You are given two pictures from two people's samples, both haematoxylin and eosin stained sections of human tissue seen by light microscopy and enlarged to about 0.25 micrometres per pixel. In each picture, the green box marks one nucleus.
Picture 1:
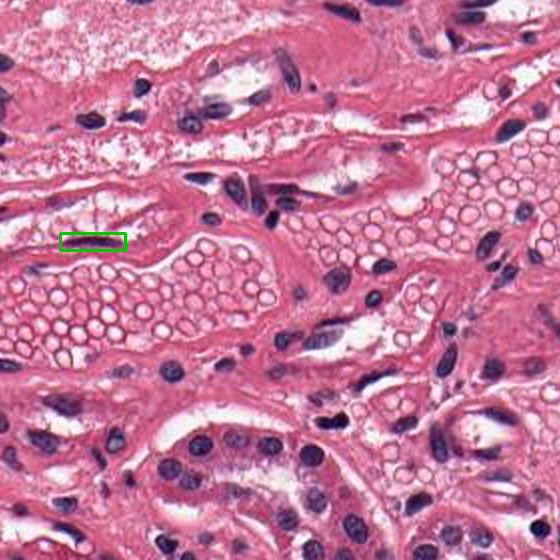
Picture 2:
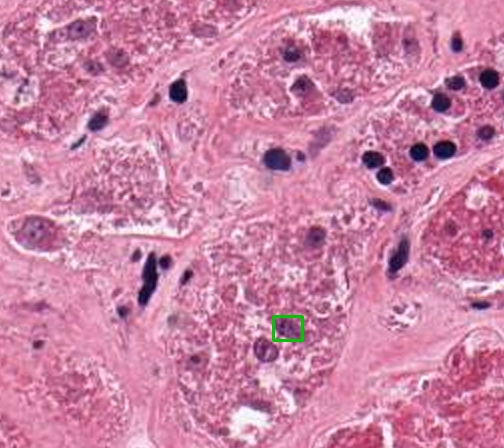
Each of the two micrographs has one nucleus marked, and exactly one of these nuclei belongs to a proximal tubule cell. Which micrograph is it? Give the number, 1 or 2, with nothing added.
2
